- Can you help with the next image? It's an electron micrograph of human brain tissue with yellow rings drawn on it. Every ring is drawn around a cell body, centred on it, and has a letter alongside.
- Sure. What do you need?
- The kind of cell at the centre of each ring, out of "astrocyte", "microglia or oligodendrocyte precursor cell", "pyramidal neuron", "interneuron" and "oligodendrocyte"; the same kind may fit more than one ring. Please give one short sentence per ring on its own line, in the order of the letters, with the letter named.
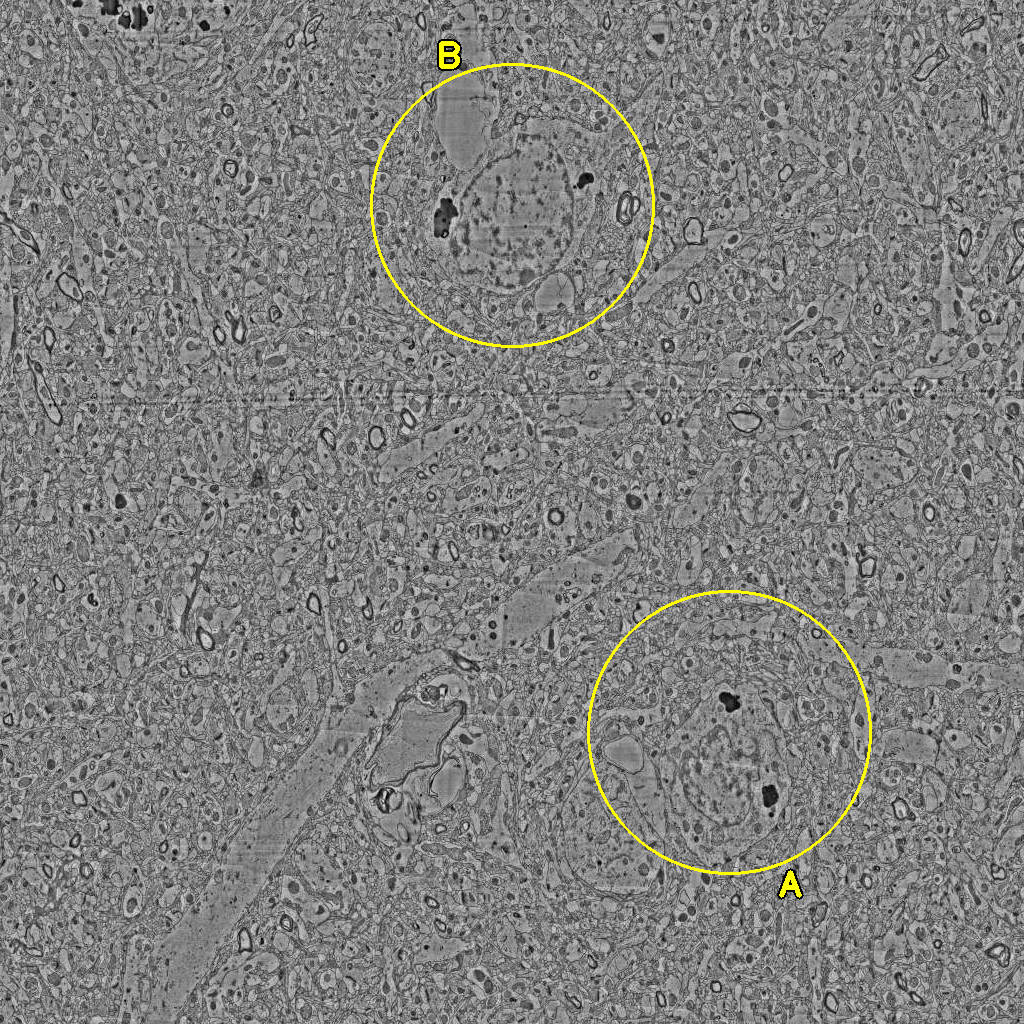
Ring A picks out an interneuron.
Ring B picks out an interneuron.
